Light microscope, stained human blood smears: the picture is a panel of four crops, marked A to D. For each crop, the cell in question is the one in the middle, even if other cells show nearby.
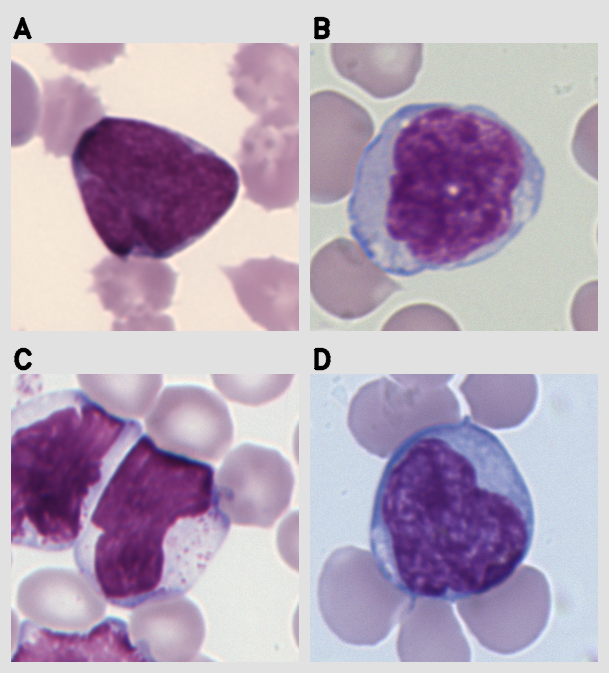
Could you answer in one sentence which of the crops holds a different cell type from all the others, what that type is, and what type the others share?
Of all the crops, only crop C shows a large granular lymphocyte; the others show myeloblasts.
